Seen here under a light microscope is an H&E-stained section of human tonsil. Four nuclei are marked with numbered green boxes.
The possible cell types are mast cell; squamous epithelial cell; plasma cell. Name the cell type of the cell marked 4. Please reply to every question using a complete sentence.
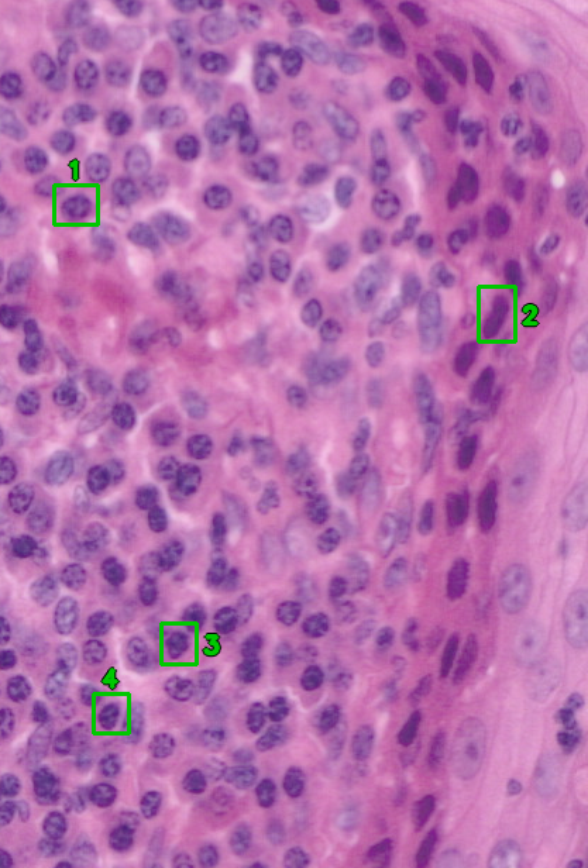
Heads up, the cell numbered 4 is a plasma cell.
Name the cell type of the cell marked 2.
The one numbered 2 among the marked cells is a squamous epithelial cell.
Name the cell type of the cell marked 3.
Among the marked cells, number 3 is a plasma cell.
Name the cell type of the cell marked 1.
Cell 1 in the field of view is a plasma cell.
